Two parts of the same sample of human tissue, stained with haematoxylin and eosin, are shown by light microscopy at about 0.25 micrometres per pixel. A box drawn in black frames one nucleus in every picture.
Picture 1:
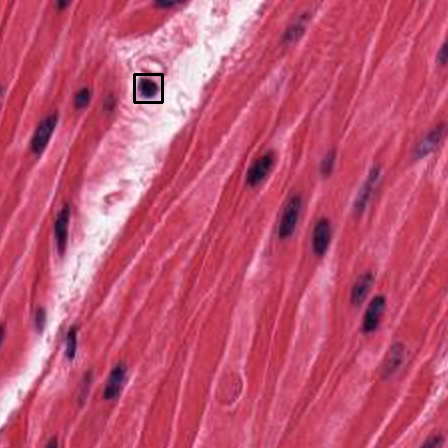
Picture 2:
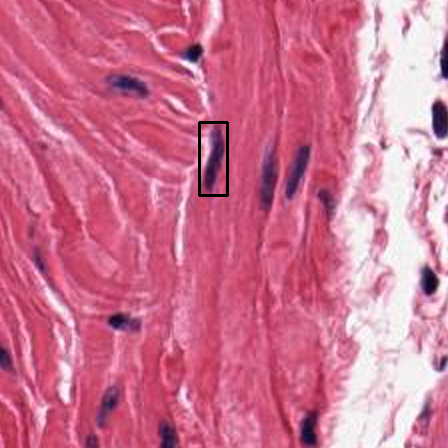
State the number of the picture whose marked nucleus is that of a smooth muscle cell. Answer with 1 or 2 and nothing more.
2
